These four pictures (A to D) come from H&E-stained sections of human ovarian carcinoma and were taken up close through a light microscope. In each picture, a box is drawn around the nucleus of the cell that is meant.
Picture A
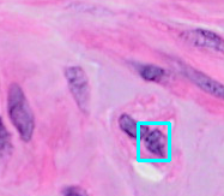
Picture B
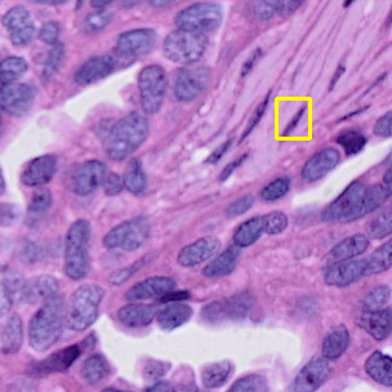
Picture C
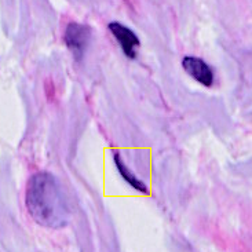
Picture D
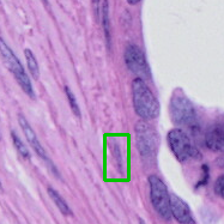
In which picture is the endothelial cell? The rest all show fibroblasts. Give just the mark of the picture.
A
